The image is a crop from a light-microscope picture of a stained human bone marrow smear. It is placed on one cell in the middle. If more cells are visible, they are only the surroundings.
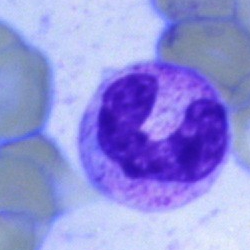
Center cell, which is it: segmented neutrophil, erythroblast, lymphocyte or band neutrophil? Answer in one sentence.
The cell featured at the centre of this crop is a band neutrophil.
